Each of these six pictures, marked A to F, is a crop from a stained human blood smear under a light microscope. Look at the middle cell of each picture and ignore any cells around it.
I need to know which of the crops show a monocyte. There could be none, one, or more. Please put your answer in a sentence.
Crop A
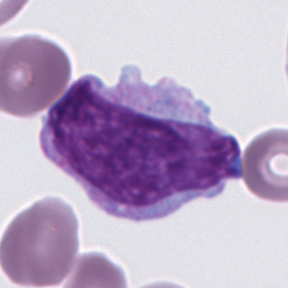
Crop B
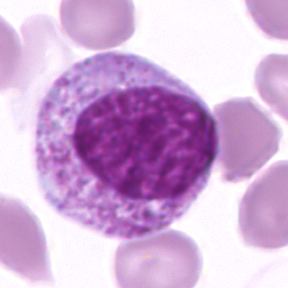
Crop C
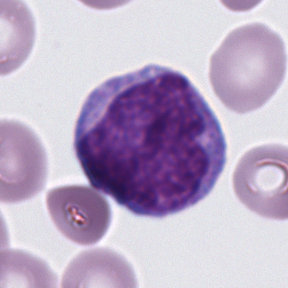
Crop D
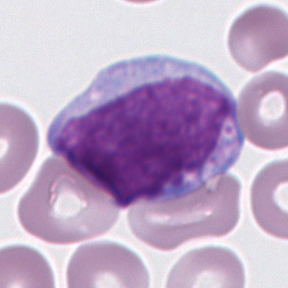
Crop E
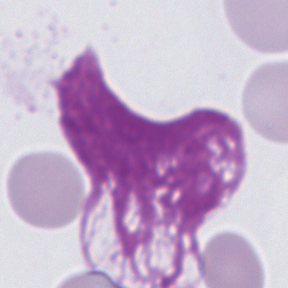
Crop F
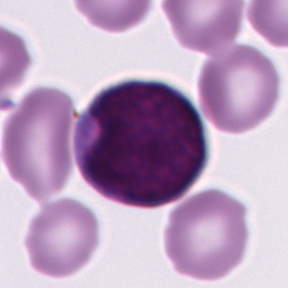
There is no crop here that shows a monocyte.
